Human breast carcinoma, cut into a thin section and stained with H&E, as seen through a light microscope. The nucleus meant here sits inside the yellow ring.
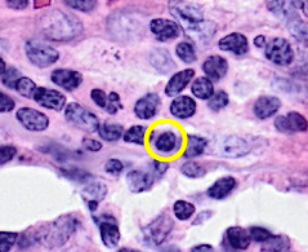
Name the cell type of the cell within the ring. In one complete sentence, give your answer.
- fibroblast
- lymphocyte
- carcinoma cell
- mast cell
In terms of identity, the cell within the ring is a lymphocyte.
